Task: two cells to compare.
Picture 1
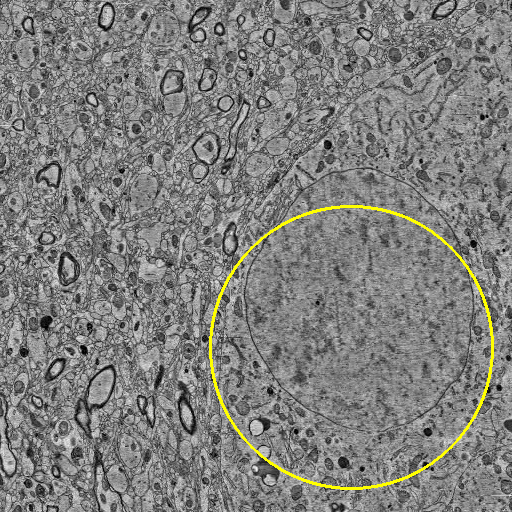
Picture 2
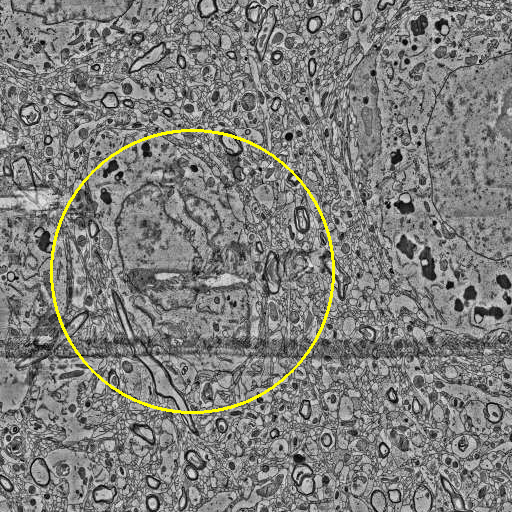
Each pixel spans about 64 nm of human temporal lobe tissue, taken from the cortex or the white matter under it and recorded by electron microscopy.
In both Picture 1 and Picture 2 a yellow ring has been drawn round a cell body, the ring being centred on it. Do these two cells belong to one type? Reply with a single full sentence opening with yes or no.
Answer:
No, the two cells at the ring centres in Picture 1 and Picture 2 are of two types.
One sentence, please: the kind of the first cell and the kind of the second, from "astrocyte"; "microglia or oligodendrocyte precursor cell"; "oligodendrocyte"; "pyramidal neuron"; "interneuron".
The ring in the first picture surrounds a pyramidal neuron, and the ring in the second surrounds an oligodendrocyte.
